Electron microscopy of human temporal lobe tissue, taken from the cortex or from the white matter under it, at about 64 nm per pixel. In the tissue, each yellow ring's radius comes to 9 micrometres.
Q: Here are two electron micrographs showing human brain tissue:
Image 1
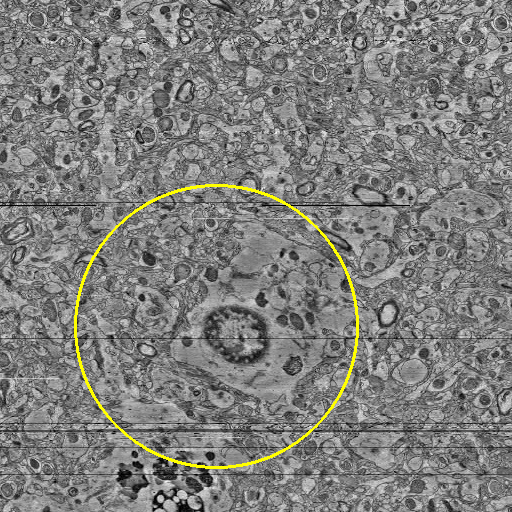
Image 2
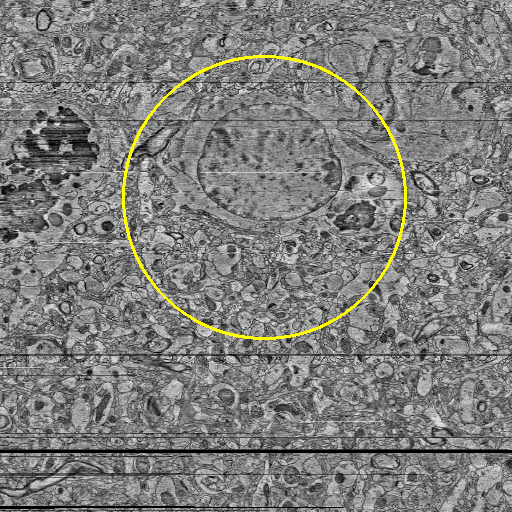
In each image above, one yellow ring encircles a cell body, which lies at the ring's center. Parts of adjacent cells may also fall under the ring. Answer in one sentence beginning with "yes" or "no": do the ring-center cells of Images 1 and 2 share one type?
Yes, in Images 1 and 2, the ring-center cells are both of one type.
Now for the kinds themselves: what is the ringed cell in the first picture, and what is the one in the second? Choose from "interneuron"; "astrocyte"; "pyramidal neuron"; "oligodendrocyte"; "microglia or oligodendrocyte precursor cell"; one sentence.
In the first picture and in the second, the ring is centred on an astrocyte.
